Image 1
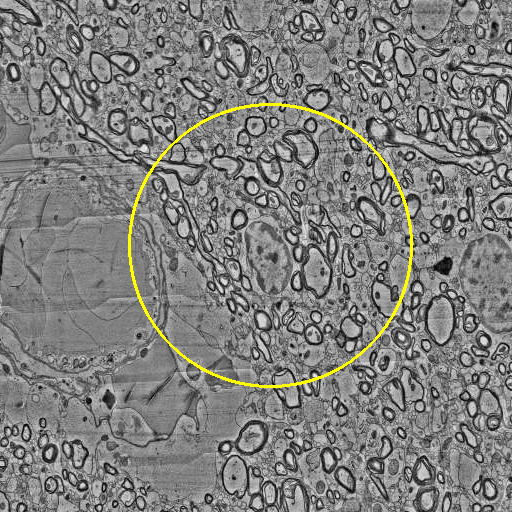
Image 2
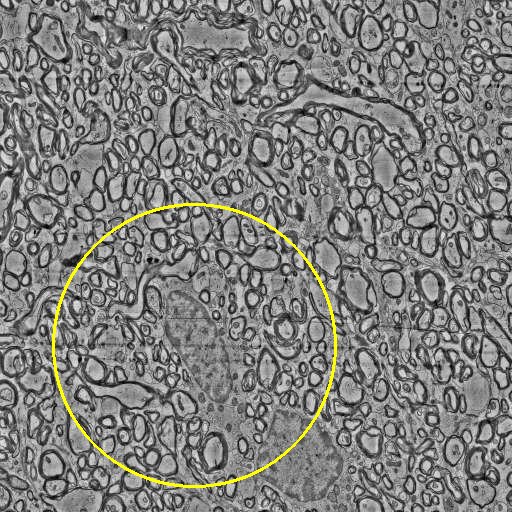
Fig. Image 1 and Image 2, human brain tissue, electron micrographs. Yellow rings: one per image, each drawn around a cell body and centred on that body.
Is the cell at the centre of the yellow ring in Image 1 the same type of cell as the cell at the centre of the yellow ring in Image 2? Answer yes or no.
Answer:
no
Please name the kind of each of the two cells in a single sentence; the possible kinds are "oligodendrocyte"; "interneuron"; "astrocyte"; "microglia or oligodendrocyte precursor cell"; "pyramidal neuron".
In the first picture the ring is centred on a microglial cell or oligodendrocyte precursor cell, and in the second on an oligodendrocyte.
